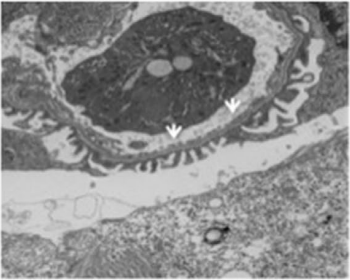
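A glomerular capillary loop is cut across, its lumen holding a large dark blood cell with a few paler round inclusions. The lumen is bounded by a thin wall made of a flattened endothelial lining, a dense continuous basement membrane, and a row of small, evenly spaced podocyte foot processes on its outer face. Outside the wall lies a pale, nearly empty urinary space, and beyond that the cytoplasm of another cell with scattered organelles. White arrows point at the filtration wall. The regular comb of foot processes and the thin even wall look like a normal glomerular filtration barrier.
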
